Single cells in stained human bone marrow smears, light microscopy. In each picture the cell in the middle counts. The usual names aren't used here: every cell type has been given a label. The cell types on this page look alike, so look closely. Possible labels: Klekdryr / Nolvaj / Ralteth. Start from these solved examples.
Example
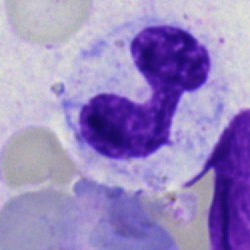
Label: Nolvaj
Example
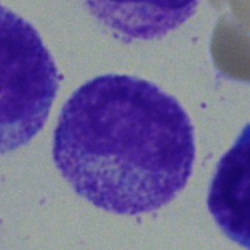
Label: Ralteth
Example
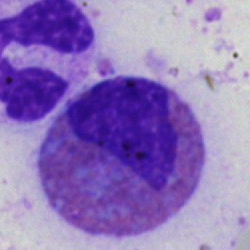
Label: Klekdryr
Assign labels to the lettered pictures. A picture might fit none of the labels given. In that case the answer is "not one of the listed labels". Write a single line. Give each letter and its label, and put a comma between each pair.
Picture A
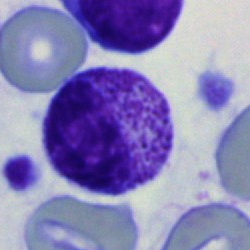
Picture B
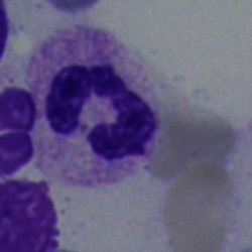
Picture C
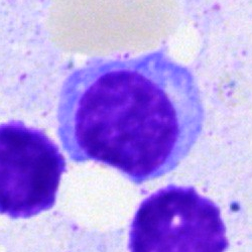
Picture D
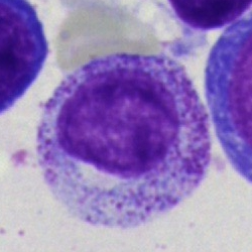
A Ralteth, B Nolvaj, C not one of the listed labels, D Ralteth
